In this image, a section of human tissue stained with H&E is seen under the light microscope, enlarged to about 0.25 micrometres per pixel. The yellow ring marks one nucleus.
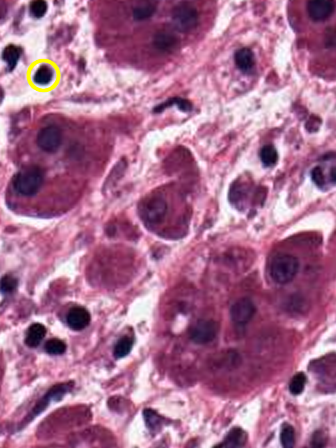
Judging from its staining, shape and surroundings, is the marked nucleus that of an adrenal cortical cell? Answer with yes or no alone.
no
